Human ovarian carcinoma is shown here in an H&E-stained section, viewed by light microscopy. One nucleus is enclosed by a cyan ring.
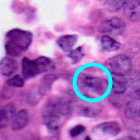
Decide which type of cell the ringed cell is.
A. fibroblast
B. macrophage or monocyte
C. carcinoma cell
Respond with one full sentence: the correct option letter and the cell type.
Option C is right, and the ringed cell is a carcinoma cell.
